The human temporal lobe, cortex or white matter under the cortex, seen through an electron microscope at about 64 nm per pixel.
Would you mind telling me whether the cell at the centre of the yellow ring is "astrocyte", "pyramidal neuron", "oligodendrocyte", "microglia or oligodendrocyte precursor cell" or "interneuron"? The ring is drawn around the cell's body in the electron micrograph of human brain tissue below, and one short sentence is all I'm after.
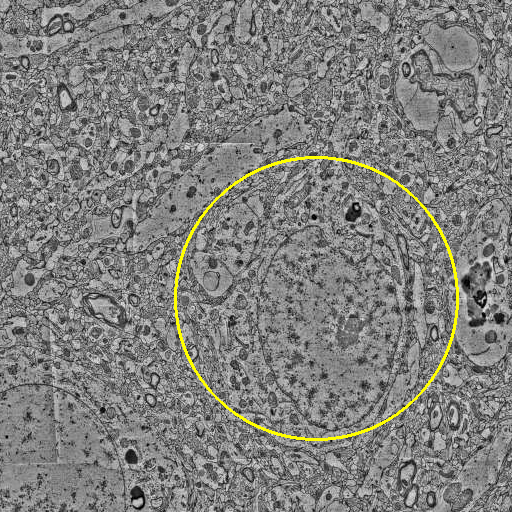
In the centre of the ring lies an interneuron.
